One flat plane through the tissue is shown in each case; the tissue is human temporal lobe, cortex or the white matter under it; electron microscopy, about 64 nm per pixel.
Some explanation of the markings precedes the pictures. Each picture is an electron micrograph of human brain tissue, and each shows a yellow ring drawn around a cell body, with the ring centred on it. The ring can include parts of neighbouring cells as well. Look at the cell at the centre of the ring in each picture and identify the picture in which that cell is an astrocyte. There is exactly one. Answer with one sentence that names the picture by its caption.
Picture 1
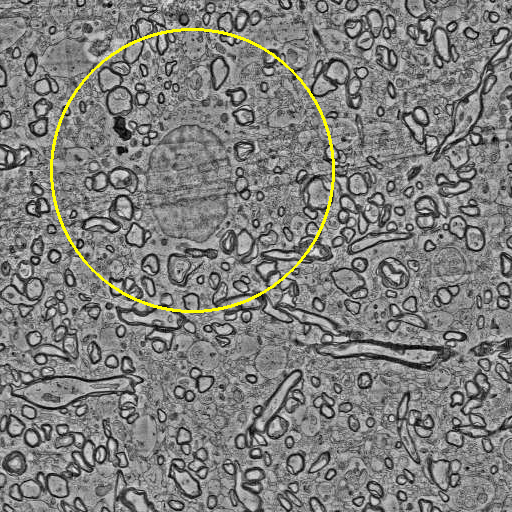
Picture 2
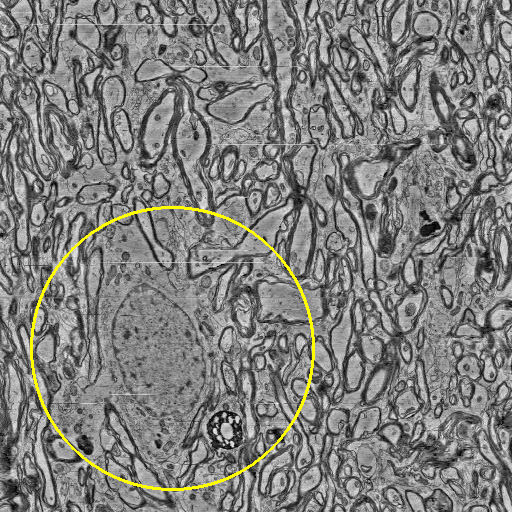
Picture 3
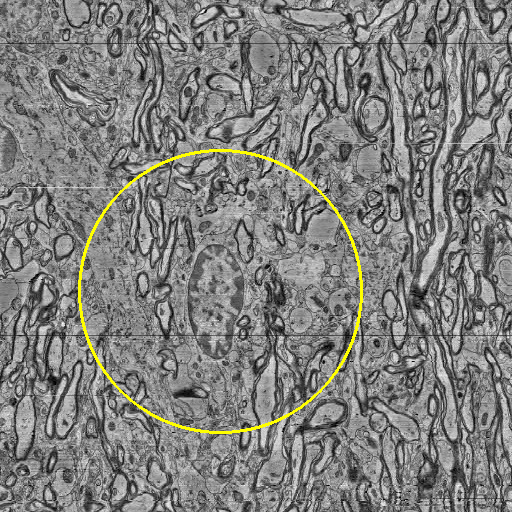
In Picture 2, the cell at the centre of the ring is of that kind.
